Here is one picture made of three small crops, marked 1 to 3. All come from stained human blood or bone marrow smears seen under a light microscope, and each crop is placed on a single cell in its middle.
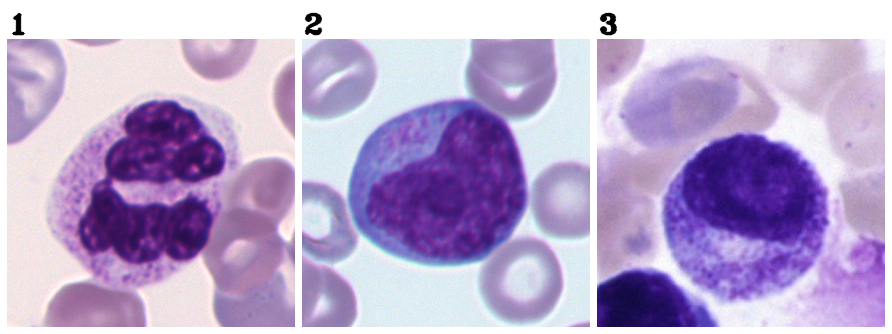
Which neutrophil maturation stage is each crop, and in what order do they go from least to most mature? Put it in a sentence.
From least to most mature, the crops are ordered crop 2 (a promyelocyte), crop 3 (a myelocyte) and crop 1 (a segmented neutrophil).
